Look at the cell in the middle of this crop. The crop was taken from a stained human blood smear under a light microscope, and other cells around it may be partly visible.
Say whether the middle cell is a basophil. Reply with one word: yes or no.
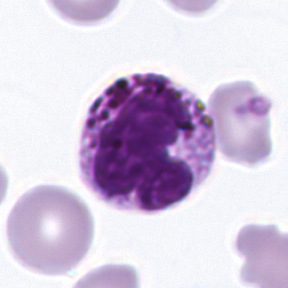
yes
